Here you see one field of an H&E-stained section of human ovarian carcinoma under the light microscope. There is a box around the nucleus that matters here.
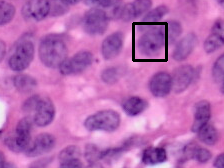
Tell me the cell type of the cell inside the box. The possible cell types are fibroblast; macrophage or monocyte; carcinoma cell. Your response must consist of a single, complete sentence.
It is as a carcinoma cell that the cell inside the box is classified.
